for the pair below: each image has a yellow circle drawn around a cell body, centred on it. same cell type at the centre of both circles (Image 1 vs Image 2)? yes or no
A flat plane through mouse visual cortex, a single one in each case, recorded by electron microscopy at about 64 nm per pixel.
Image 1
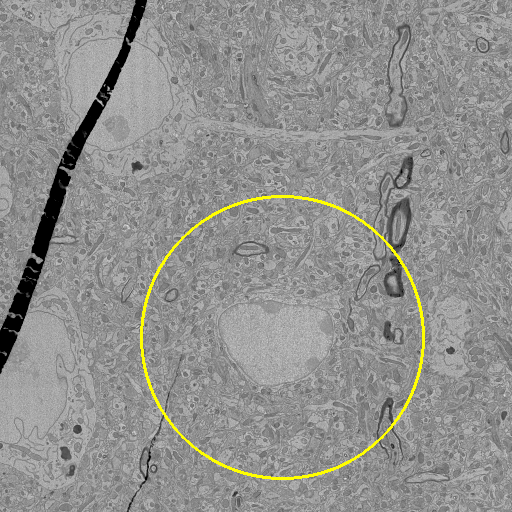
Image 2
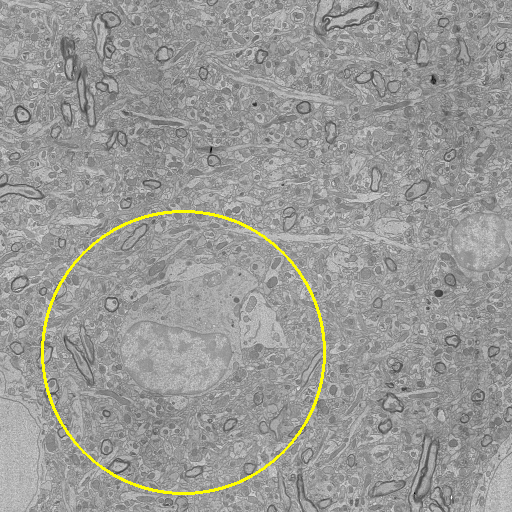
no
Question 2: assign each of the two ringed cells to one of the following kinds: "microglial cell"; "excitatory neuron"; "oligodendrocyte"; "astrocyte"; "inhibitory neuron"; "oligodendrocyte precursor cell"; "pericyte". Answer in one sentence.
The two cells are an astrocyte in the first picture and an oligodendrocyte in the second.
